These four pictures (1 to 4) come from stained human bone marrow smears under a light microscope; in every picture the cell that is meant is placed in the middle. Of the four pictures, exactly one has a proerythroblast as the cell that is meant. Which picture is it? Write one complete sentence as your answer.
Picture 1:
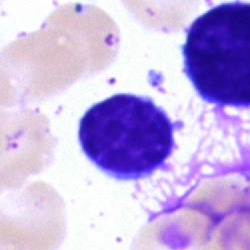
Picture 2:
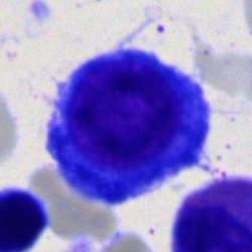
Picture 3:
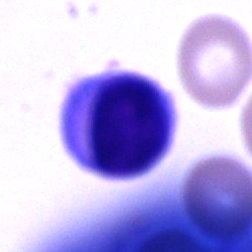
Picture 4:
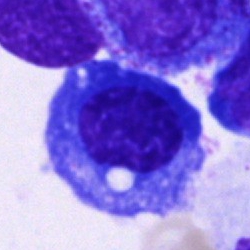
The cell in picture 2 is the proerythroblast.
